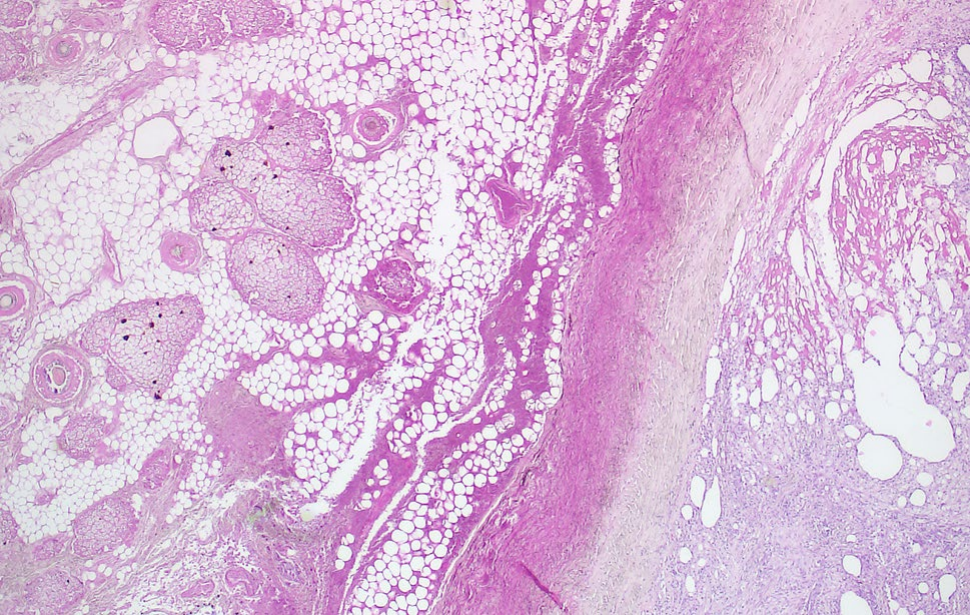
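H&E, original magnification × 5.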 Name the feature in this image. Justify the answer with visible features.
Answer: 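Several round profiles on the left have concentric pink layers around a central round shaft. These round profiles lie scattered within fatty tissue. The answer: hair follicles.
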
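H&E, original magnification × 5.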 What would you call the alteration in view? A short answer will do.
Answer: inflammatory reaction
